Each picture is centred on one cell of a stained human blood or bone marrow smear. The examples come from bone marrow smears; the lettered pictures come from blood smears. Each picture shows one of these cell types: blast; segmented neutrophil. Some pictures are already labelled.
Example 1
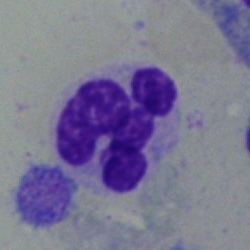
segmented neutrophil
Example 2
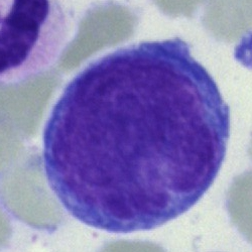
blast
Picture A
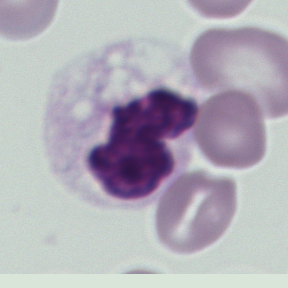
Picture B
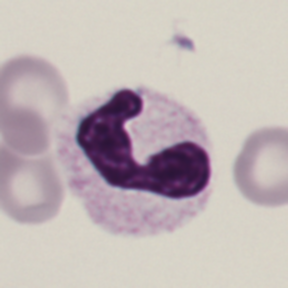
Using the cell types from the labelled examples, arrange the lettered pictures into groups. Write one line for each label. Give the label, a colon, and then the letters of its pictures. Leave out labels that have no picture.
segmented neutrophil: A, B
